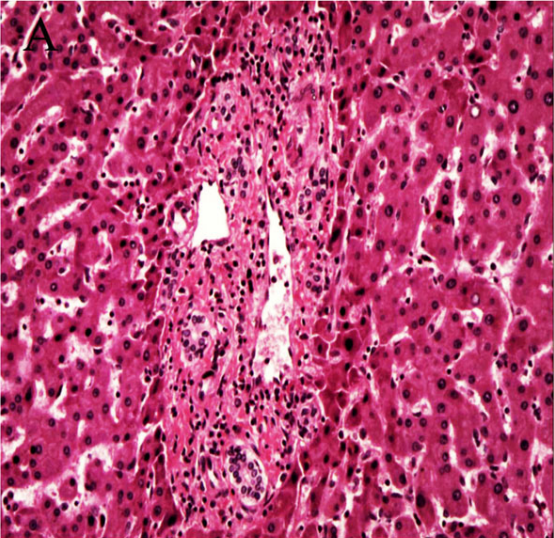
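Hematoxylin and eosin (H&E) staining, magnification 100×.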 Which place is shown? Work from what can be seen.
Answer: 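Portal area. A central connective tissue tract holds vessel lumens. Cords of polygonal pink cells with round central nuclei surround the tract.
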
